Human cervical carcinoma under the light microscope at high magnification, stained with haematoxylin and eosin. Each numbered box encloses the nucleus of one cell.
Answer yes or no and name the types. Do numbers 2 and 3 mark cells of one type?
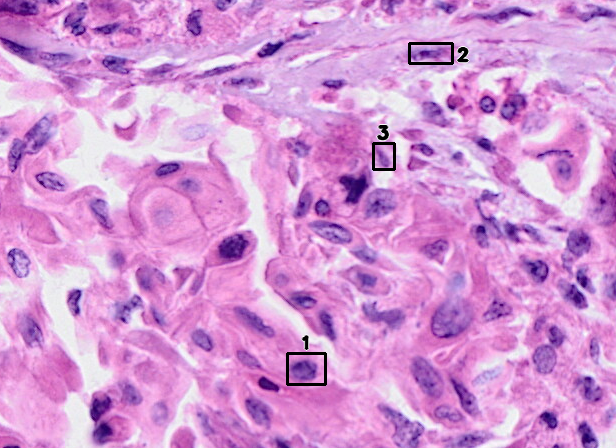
Yes, in terms of cell type, cells 2 and 3 are both fibroblasts.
